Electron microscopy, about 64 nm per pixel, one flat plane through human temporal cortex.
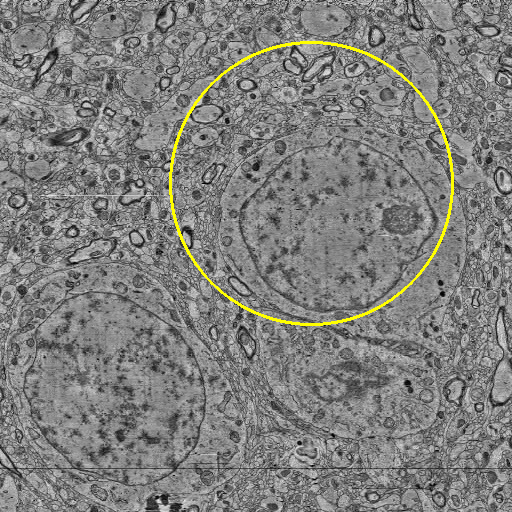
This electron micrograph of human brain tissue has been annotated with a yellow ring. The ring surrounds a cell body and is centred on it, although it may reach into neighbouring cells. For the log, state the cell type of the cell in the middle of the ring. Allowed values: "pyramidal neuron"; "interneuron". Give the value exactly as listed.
pyramidal neuron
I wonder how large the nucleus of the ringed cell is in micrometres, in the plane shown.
Roughly 12 micrometers across in this plane.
